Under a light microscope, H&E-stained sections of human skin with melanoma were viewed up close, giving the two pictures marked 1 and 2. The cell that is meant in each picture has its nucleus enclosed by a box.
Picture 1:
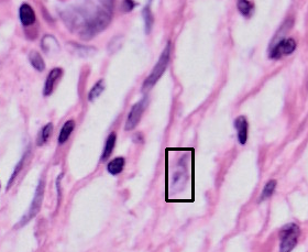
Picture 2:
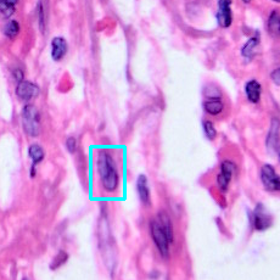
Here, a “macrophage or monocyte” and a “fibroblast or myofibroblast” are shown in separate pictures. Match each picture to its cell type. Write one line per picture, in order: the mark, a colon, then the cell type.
1: fibroblast or myofibroblast
2: macrophage or monocyte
